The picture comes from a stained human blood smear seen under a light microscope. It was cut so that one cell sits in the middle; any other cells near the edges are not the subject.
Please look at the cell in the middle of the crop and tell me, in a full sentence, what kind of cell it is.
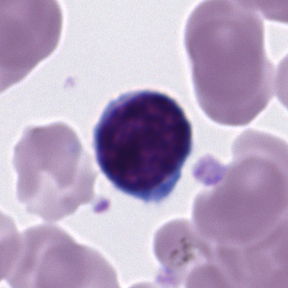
At the middle of the frame sits a typical lymphocyte.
